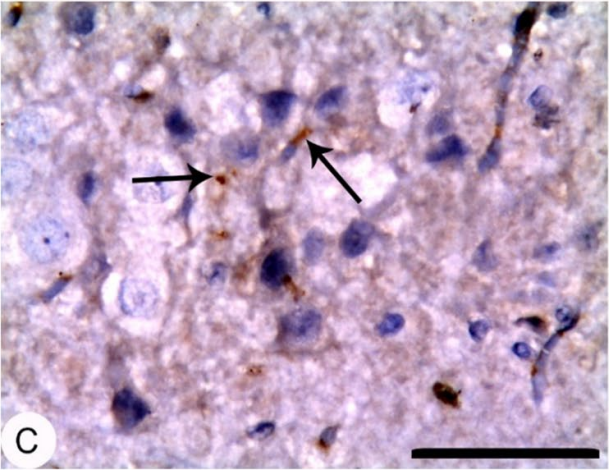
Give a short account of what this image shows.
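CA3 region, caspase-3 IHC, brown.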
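This is the hippocampal pyramidal layer, where pyramidal neurons are less orderly: some keep large pale nuclei, while many nuclei are small, dark and irregular. Small dark brown granules lie in the cytoplasm beside several nuclei, and thin elongated vessel profiles run through the neuropil.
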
